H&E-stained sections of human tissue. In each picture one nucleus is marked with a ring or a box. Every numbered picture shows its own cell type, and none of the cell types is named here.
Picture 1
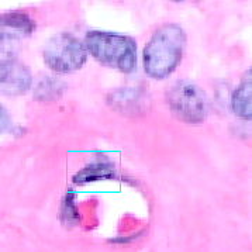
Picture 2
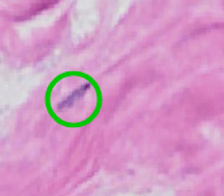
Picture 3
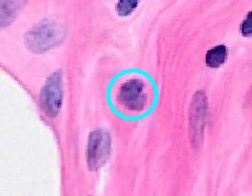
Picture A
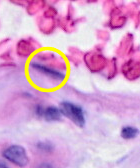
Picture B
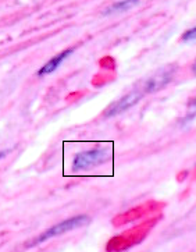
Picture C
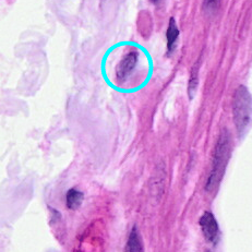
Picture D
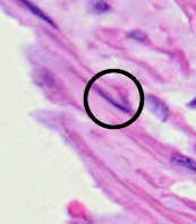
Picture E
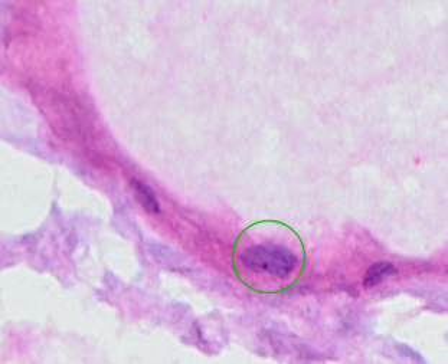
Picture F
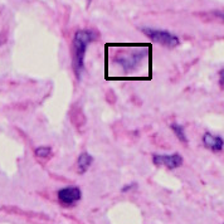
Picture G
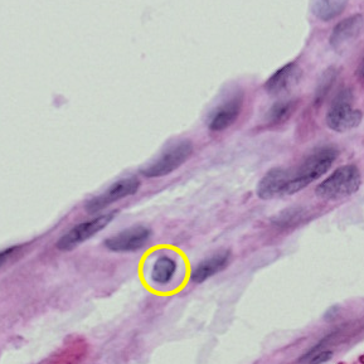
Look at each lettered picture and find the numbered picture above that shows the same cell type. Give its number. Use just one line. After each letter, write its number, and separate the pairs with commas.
A 1, B 2, C 2, D 2, E 1, F 2, G 3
